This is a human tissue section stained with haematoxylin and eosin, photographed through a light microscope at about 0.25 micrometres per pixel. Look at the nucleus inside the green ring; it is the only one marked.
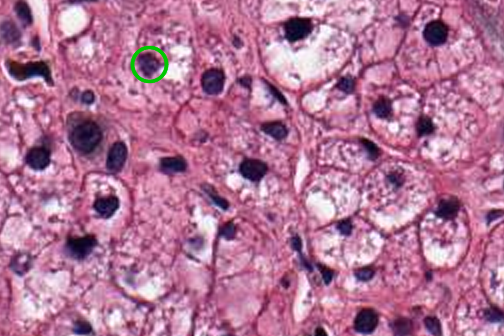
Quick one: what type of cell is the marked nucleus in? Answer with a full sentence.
As shown, the marked nucleus belongs to an adrenal cortical cell.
